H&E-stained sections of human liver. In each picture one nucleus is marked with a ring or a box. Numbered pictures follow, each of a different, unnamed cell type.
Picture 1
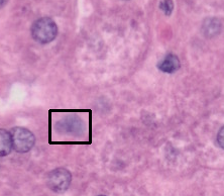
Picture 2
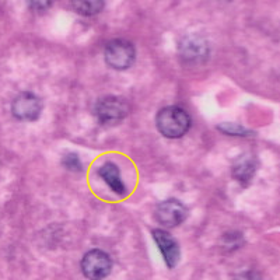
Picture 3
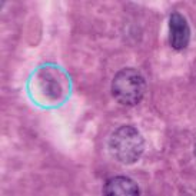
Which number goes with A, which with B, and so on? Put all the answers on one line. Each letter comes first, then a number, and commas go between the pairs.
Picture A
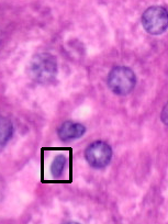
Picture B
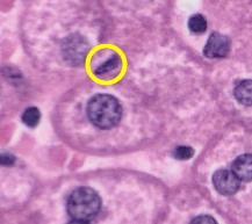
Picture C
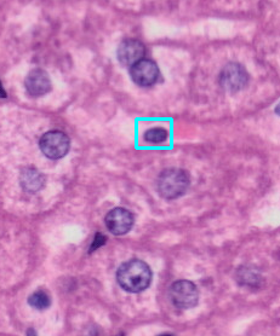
A 2, B 1, C 2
